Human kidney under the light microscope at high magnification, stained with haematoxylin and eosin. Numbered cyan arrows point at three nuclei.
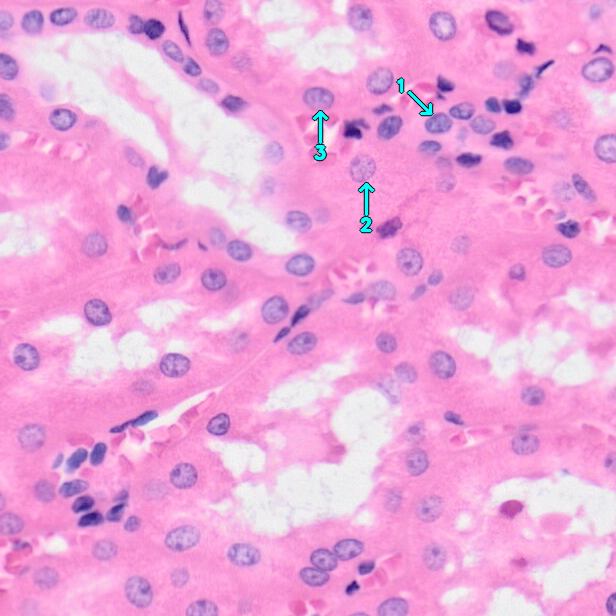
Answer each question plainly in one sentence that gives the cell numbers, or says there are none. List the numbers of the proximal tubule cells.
The numbers 2 and 3 mark cells that are proximal tubule cells.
